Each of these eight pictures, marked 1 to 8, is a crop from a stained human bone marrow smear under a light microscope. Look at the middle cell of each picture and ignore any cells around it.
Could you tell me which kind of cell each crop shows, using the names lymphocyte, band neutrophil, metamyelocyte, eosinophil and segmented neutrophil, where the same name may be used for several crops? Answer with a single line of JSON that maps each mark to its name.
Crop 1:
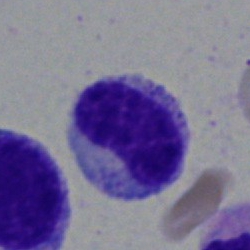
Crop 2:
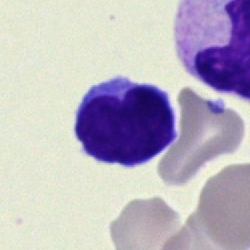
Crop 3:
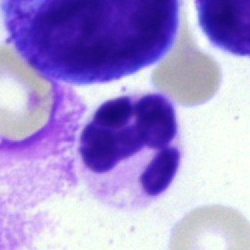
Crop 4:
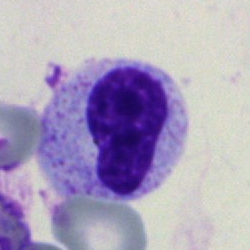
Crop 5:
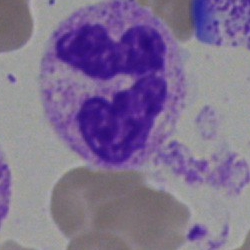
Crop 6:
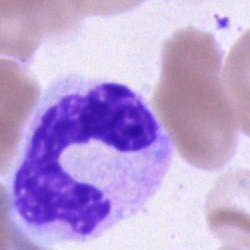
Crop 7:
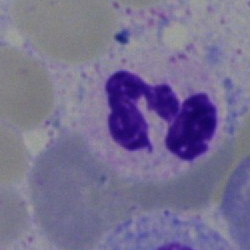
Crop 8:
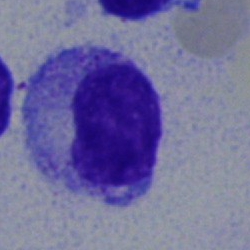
{"1": "metamyelocyte", "2": "lymphocyte", "3": "segmented neutrophil", "4": "metamyelocyte", "5": "segmented neutrophil", "6": "band neutrophil", "7": "segmented neutrophil", "8": "metamyelocyte"}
